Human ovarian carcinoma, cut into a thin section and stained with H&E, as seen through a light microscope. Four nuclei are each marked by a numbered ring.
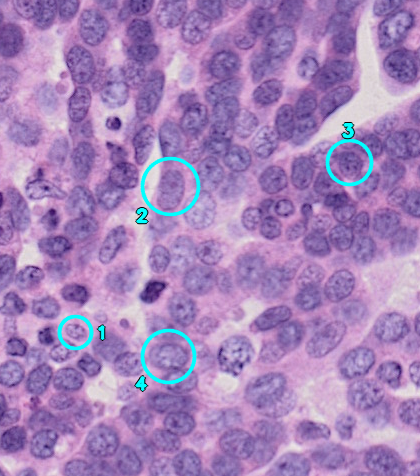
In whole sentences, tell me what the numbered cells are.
Cell 1 is a macrophage or monocyte, cell 2 is a carcinoma cell, cell 3 is a carcinoma cell and cell 4 is a carcinoma cell.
